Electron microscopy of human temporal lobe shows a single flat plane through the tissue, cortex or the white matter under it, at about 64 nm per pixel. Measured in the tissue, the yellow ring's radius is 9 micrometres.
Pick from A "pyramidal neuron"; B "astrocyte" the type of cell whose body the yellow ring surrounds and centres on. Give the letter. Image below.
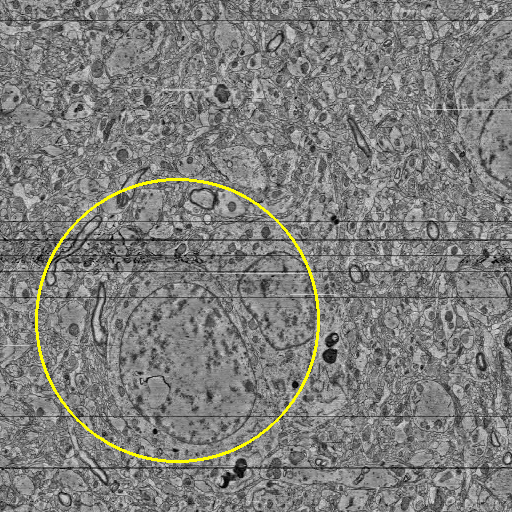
A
